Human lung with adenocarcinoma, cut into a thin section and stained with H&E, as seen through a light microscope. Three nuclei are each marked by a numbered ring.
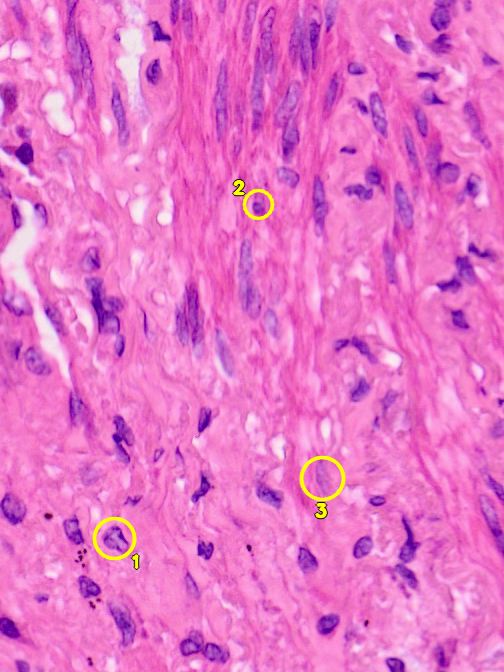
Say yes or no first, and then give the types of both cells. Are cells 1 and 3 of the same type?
No, cell number 1 is a fibroblast and cell number 3 is a smooth muscle cell or pericyte.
